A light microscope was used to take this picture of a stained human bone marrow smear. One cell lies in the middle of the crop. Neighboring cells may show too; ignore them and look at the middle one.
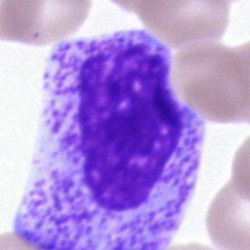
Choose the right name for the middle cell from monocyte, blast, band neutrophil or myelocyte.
myelocyte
